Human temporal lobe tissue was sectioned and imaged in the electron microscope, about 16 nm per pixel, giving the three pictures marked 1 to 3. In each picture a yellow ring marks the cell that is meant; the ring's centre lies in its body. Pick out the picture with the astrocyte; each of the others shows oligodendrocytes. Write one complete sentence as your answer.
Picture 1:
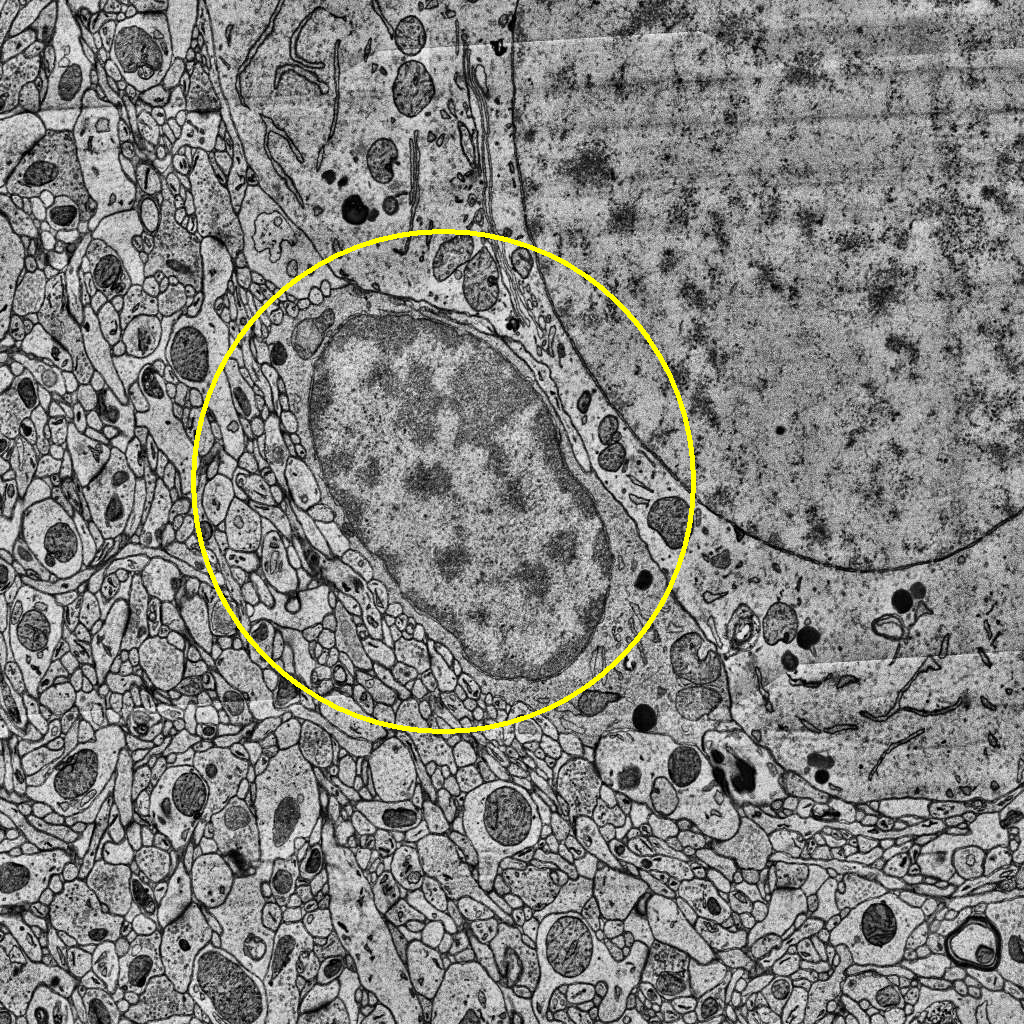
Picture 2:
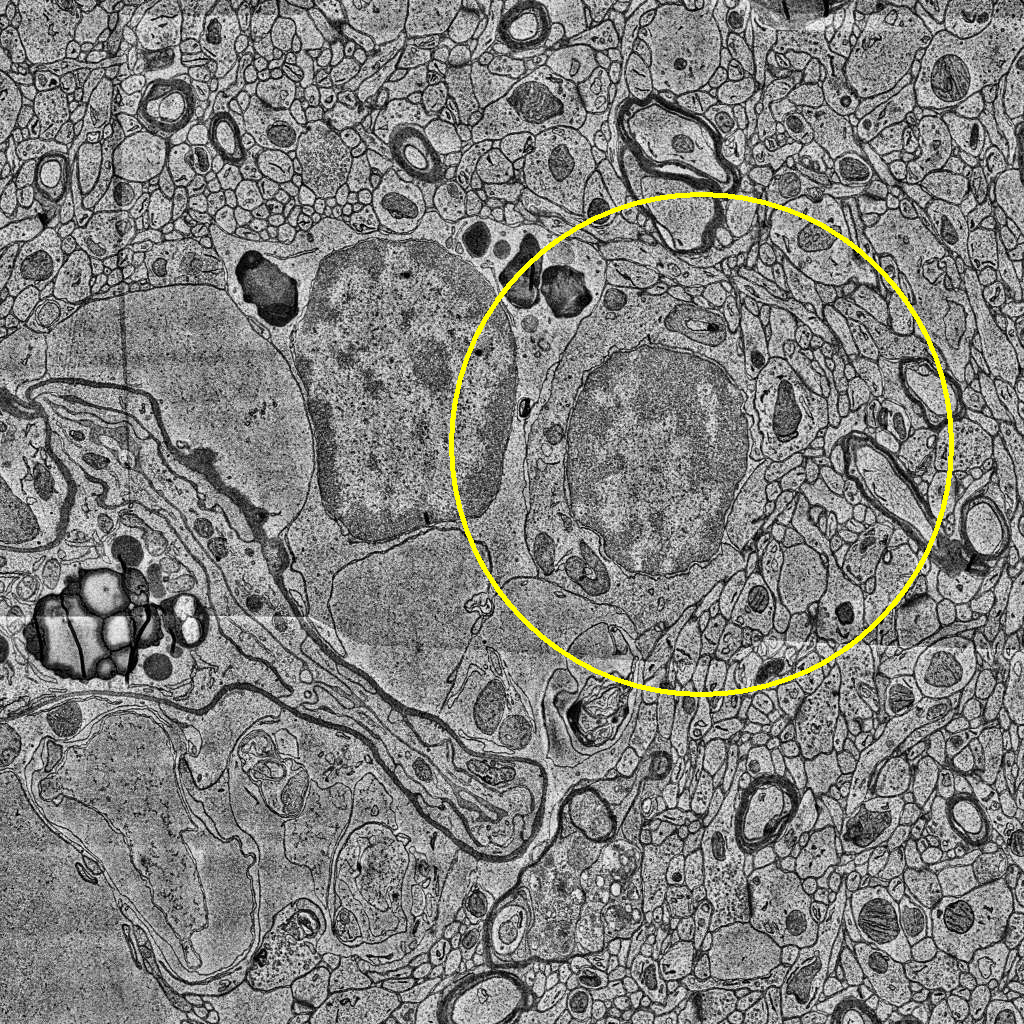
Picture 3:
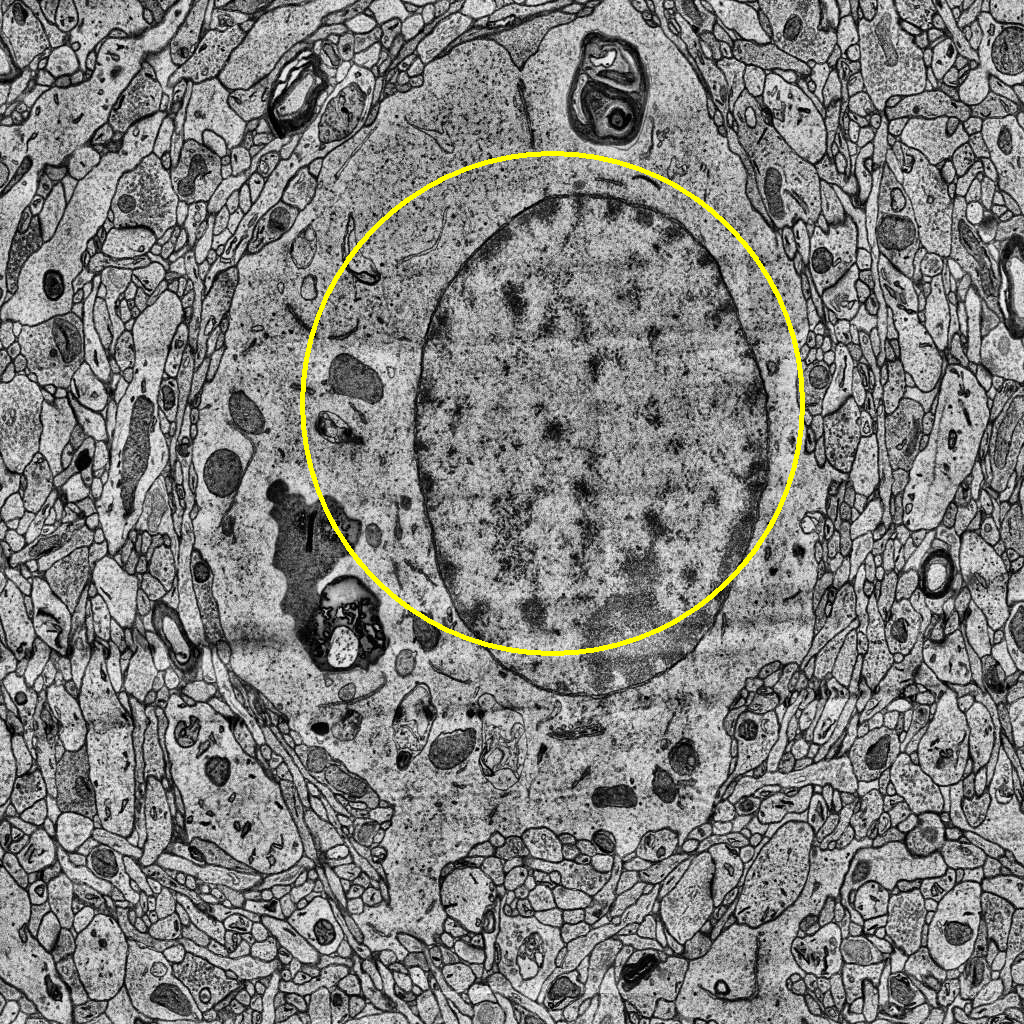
The cell in picture 3 is the astrocyte.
